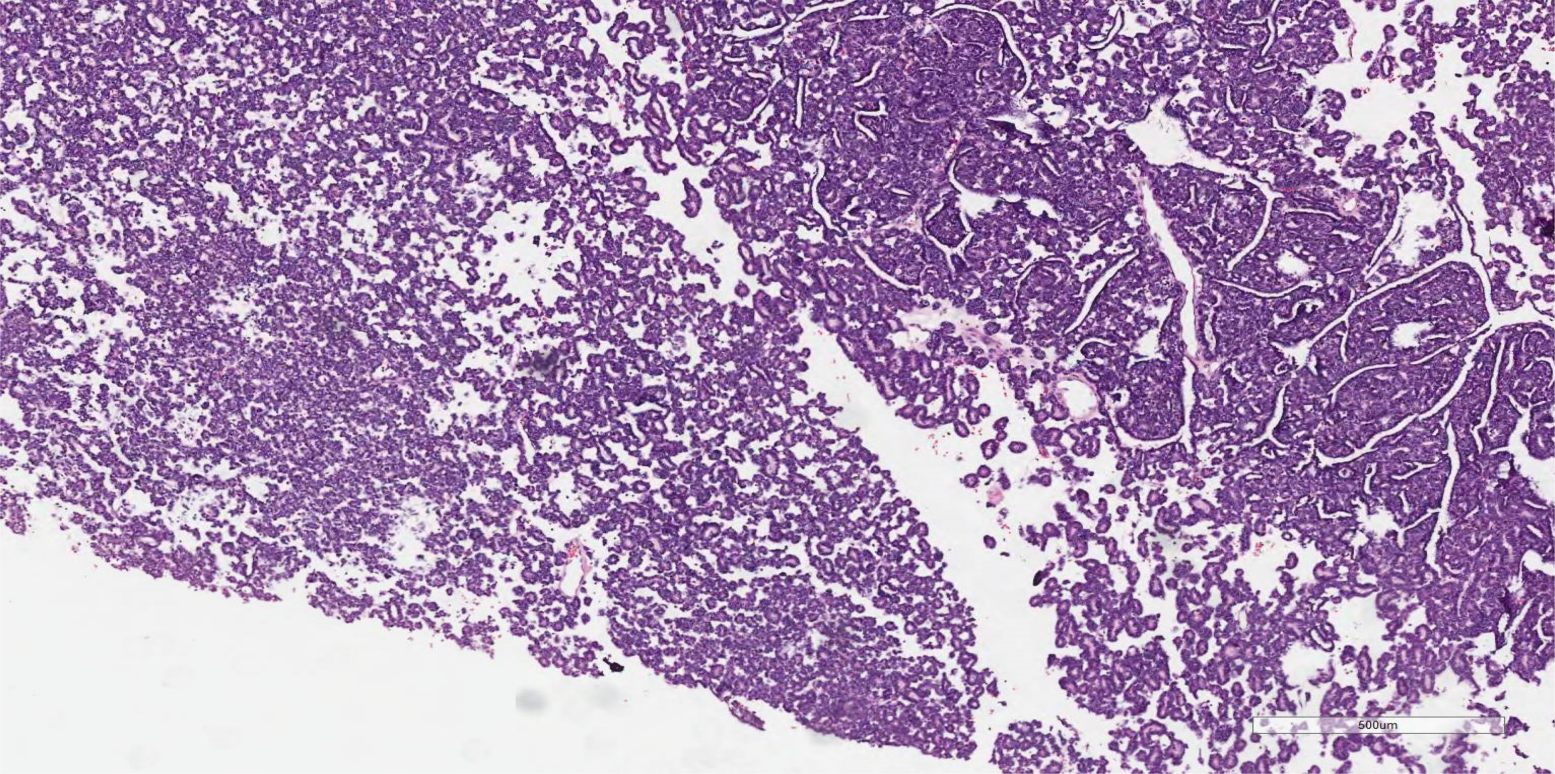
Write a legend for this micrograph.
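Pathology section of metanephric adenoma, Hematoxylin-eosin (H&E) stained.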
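This is a low-power view of a densely cellular epithelial tumour made of closely packed small tubules and acini. On the right, the epithelial cells form compact papillary or glandular aggregates, separated from one another by narrow slit-like clefts. On the left, the small tubular units are more loosely arranged, with many empty spaces between them.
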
